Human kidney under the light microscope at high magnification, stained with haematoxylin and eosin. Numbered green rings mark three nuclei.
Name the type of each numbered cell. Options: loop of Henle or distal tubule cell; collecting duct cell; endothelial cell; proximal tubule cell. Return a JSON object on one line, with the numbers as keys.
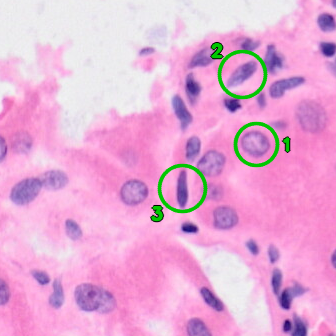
{"1": "proximal tubule cell", "2": "endothelial cell", "3": "endothelial cell"}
